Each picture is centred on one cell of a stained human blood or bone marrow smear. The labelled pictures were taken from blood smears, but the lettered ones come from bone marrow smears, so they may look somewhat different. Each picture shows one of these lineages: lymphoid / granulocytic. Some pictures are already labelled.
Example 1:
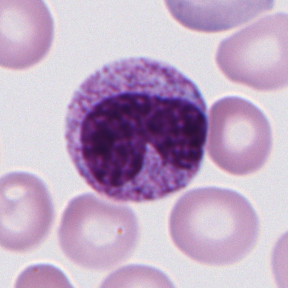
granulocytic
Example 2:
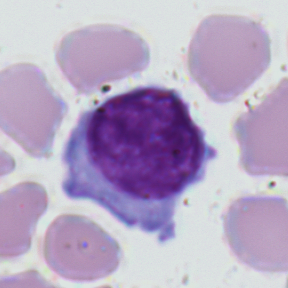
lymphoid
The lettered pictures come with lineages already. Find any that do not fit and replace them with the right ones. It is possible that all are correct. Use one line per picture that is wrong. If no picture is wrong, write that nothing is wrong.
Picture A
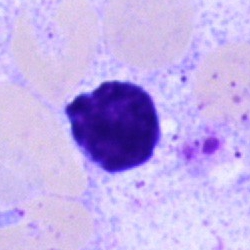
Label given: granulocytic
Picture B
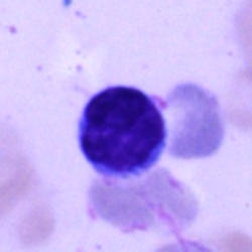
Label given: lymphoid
A: lymphoid, not granulocytic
